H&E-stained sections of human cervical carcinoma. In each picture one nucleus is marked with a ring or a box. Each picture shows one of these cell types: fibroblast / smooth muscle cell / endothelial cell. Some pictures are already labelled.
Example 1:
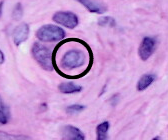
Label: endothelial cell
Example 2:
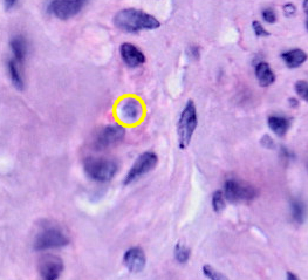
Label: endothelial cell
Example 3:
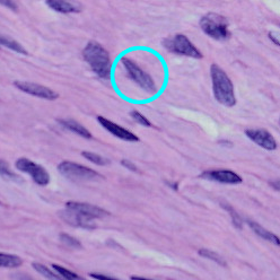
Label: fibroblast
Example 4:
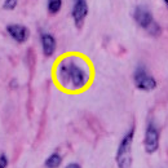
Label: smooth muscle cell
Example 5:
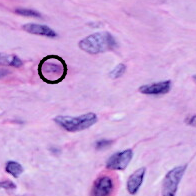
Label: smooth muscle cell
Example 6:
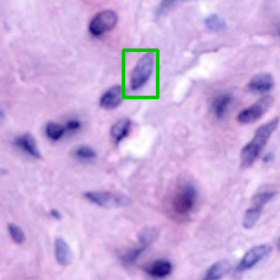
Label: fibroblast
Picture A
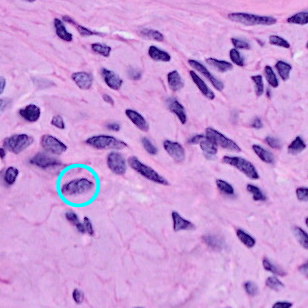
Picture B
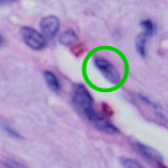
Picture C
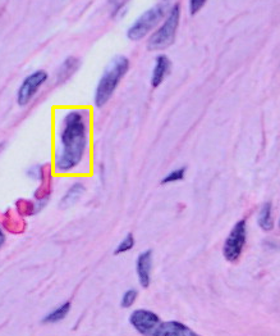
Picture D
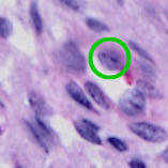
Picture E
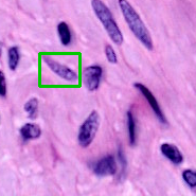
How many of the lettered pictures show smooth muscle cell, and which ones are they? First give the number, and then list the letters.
0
